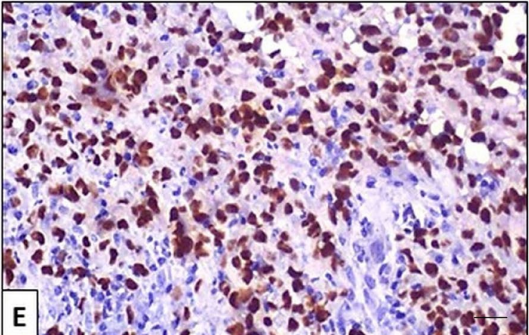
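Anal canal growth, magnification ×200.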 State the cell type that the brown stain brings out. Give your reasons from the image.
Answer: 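Many crowded cells with irregular nuclei are stained brown. Blue-stained cells lie between the brown ones.
Hence: tumor cells.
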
